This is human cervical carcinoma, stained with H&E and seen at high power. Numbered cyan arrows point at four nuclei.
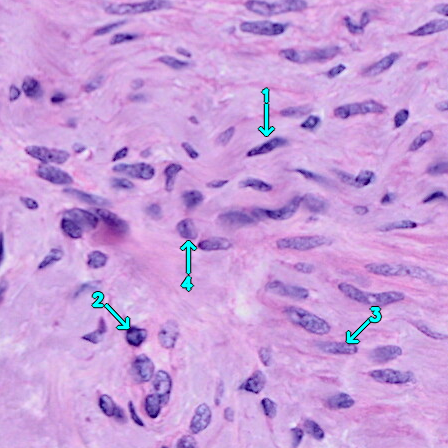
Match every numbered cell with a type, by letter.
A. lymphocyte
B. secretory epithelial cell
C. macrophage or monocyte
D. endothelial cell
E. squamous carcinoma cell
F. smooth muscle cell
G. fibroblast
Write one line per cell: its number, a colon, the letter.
1: G
2: D
3: F
4: G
